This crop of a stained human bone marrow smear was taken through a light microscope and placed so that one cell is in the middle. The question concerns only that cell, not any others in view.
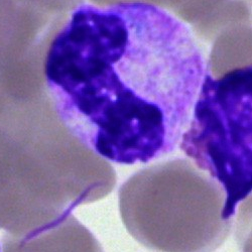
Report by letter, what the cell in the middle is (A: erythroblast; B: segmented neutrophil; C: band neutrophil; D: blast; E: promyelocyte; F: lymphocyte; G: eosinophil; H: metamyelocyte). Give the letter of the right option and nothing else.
C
